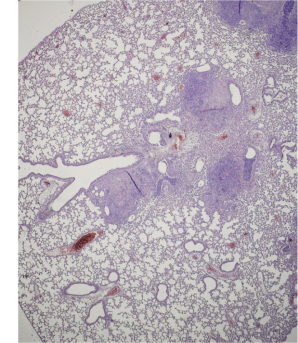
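A low-magnification section of lung shows a fine, lacy network of thin alveolar walls around open air spaces. Several large, dense purple-staining patches of consolidated tissue lie in the centre and at the upper right, where the air spaces are filled and obscured. Branching airways and blood vessels, some containing red blood cells, run through the section and border these patches.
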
